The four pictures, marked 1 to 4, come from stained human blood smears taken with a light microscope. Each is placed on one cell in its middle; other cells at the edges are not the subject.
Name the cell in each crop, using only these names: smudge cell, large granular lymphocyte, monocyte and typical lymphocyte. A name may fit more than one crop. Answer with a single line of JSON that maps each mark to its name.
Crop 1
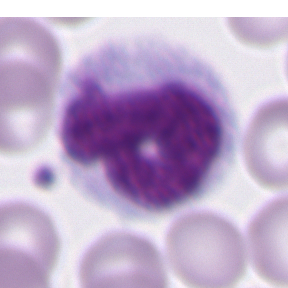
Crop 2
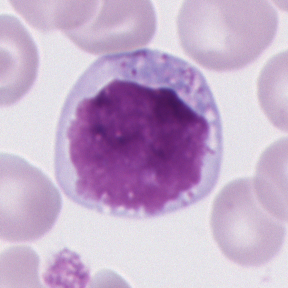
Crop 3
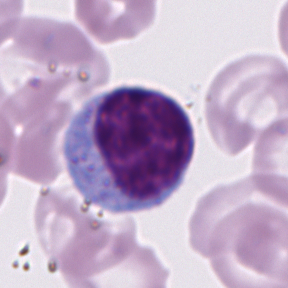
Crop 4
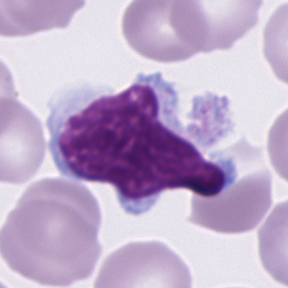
{"1": "monocyte", "2": "large granular lymphocyte", "3": "typical lymphocyte", "4": "large granular lymphocyte"}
